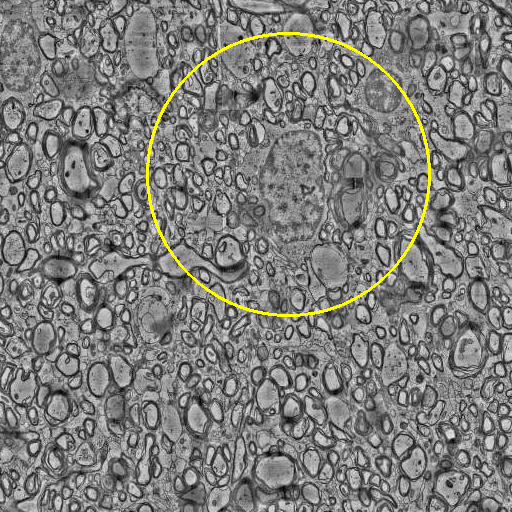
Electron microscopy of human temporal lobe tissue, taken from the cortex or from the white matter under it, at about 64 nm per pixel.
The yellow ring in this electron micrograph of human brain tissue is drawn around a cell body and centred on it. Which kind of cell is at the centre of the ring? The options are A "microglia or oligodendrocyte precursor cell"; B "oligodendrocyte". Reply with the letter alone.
B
